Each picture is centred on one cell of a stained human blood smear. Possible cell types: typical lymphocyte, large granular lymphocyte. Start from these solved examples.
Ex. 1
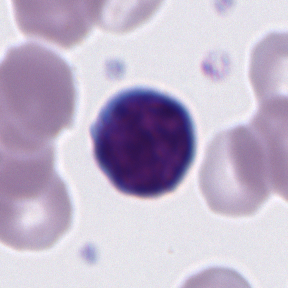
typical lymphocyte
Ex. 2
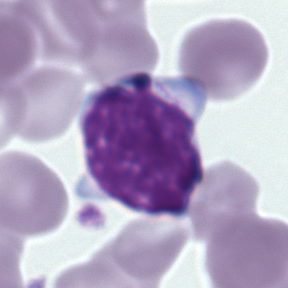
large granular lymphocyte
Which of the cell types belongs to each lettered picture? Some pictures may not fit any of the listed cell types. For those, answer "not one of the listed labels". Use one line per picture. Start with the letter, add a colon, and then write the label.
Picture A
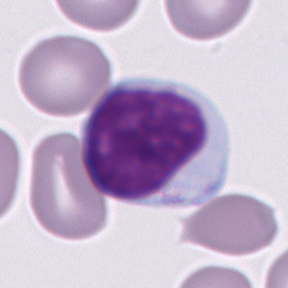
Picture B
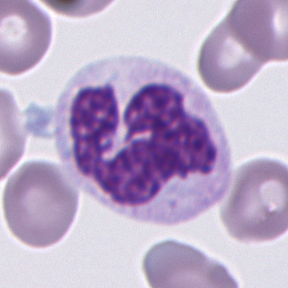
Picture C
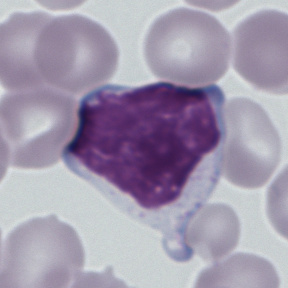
A: large granular lymphocyte
B: not one of the listed labels
C: large granular lymphocyte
